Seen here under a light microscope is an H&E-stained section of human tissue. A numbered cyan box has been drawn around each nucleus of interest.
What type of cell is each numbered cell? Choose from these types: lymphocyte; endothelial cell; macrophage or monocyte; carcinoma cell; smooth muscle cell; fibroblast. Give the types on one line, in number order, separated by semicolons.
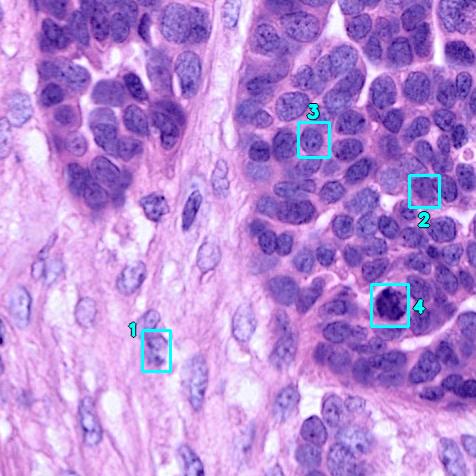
fibroblast; carcinoma cell; carcinoma cell; carcinoma cell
